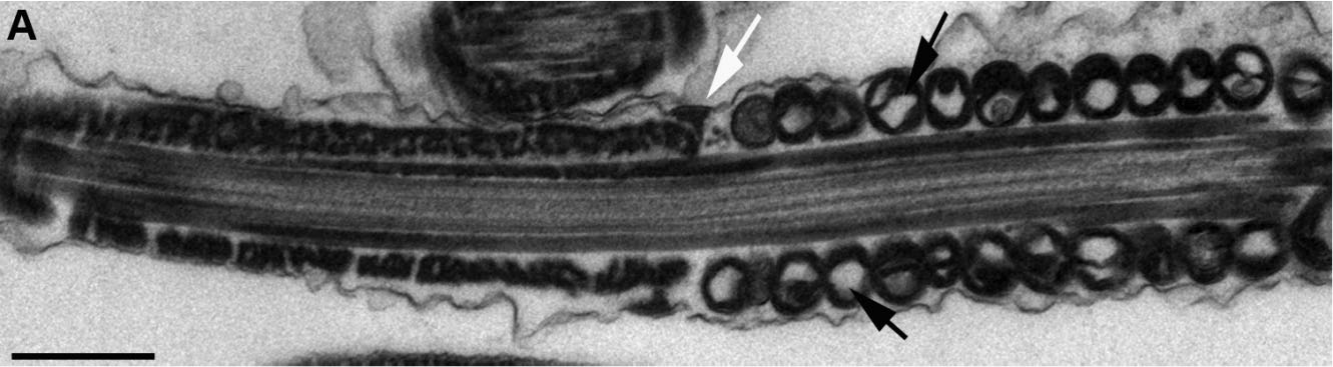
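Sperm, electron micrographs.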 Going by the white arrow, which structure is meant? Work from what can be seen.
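The arrow points to a small dense triangular body on the flagellar membrane. It sits where the row of ring-shaped profiles along the axoneme ends and a differently textured sheath begins.
Conclusion: annulus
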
